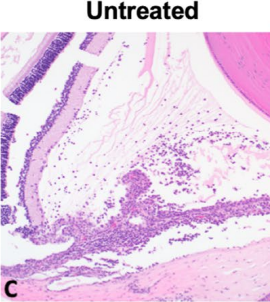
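This section shows the anterior region of an eye with the ciliary body, iris and neighbouring retina, heavily infiltrated by inflammatory cells. The folded ciliary tissue sits near the centre, with a thickened band of tissue running along the outer wall below it. Numerous small, dark, round nuclei of inflammatory cells crowd around the ciliary folds and iris, and many lie loose in the surrounding spaces that are normally clear. At the left edge the layered retina is seen with its purple nuclear bands. A large, uniformly pink structure occupies the upper right corner.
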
